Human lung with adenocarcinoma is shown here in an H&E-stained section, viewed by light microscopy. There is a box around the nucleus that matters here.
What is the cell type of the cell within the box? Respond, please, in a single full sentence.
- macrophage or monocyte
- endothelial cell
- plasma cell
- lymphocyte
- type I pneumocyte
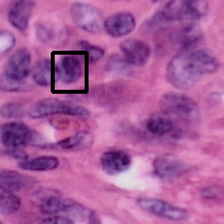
Cell type answer for this item: the cell within the box is a lymphocyte.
